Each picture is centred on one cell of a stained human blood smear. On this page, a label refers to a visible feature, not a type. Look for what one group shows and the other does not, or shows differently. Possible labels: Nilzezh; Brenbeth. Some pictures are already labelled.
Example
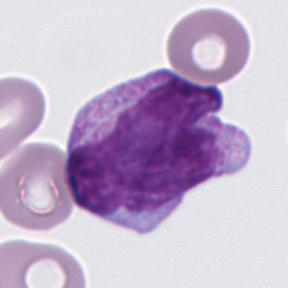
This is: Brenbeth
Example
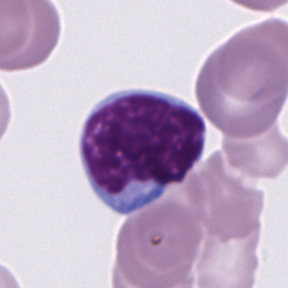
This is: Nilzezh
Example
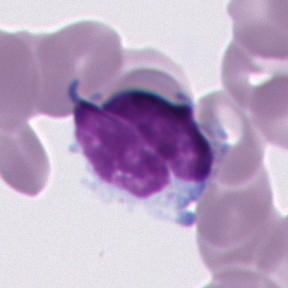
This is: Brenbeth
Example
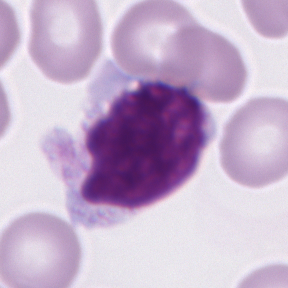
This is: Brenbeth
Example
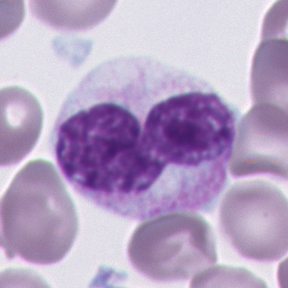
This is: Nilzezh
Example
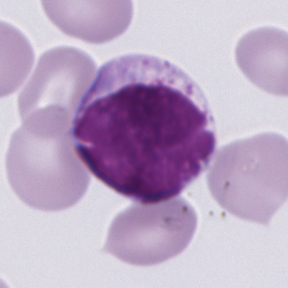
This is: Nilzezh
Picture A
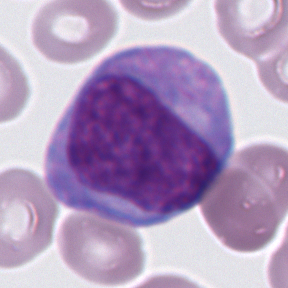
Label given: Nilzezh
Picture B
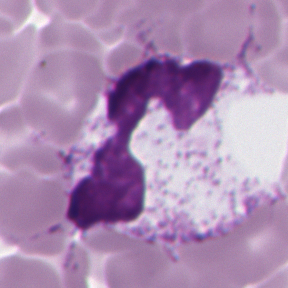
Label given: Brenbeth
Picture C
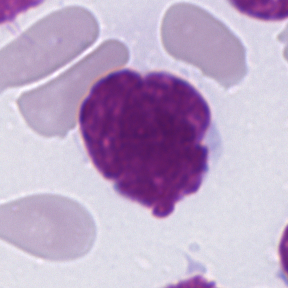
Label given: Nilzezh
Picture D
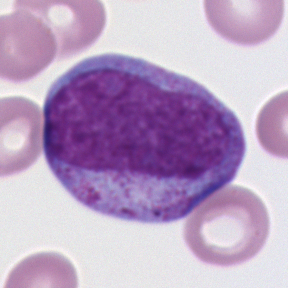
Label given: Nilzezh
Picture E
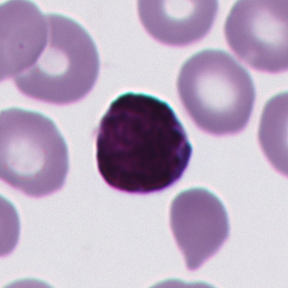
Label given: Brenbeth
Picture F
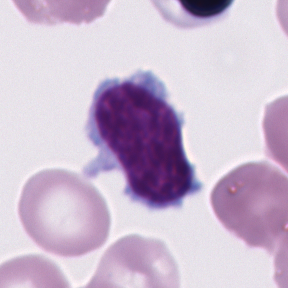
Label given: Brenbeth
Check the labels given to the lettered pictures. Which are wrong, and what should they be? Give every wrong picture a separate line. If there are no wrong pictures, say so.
C: not Nilzezh but Brenbeth
E: not Brenbeth but Nilzezh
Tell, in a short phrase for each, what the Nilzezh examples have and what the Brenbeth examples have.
In Nilzezh: smooth outline. In Brenbeth: ragged outline or projections.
